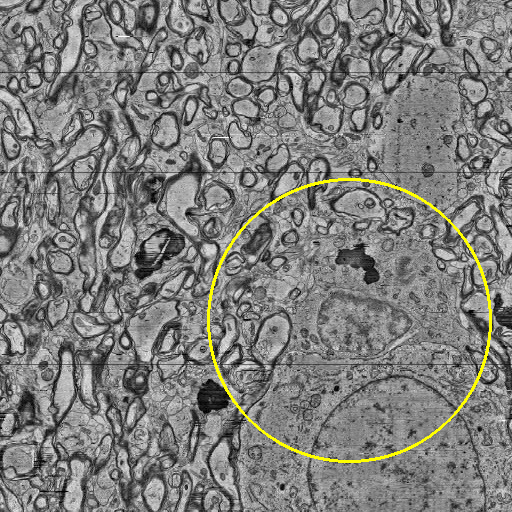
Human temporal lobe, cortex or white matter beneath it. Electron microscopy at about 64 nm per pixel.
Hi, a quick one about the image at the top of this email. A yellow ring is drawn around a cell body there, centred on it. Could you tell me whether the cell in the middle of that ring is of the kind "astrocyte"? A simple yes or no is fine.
no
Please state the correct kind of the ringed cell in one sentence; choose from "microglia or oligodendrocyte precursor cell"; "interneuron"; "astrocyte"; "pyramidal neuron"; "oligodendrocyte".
The cell at the ring centre is an oligodendrocyte.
